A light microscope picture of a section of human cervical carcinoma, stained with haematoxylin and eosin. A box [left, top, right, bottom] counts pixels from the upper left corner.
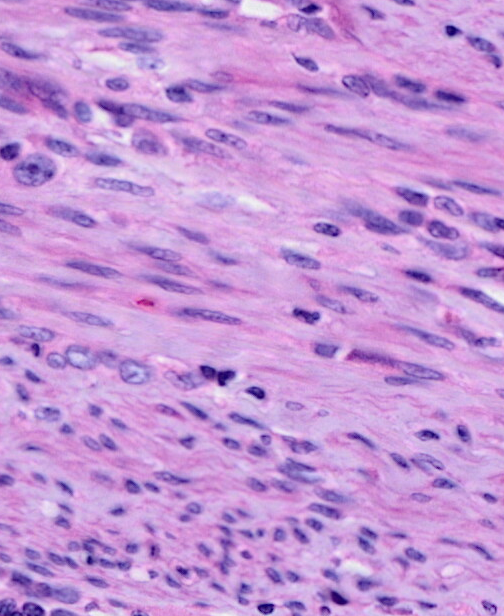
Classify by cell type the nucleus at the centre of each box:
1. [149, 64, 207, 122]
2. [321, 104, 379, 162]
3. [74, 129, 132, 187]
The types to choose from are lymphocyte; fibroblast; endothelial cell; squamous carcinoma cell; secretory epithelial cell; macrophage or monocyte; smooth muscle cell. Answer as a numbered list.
1. lymphocyte
2. smooth muscle cell
3. fibroblast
